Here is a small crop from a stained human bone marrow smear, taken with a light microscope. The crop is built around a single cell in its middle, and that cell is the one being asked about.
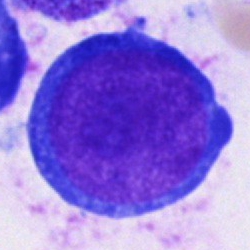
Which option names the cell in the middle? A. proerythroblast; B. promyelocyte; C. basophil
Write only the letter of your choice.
A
